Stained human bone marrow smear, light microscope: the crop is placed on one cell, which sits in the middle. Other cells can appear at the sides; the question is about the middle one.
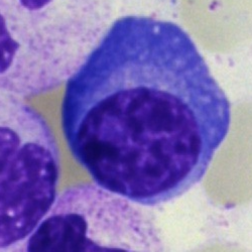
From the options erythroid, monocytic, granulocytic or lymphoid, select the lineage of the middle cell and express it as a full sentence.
The cell in the middle is allocated to the lymphoid lineage.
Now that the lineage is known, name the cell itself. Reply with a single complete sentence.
The cell of interest, in the center, is a plasma cell.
